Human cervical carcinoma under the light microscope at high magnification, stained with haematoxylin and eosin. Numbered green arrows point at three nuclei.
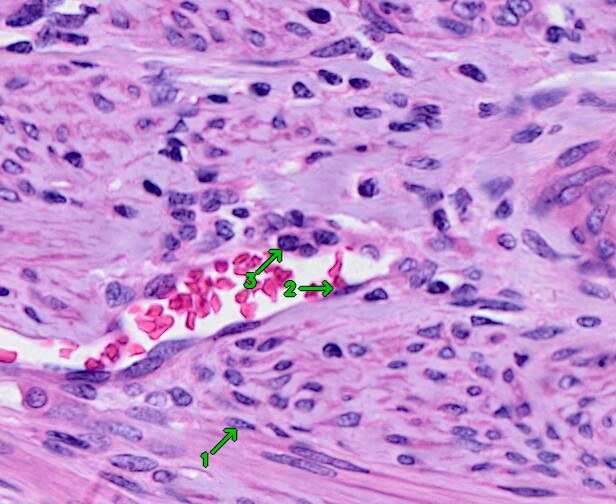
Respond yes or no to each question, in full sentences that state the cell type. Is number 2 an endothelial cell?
Yes, correct, the cell with the number 2 is an endothelial cell.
